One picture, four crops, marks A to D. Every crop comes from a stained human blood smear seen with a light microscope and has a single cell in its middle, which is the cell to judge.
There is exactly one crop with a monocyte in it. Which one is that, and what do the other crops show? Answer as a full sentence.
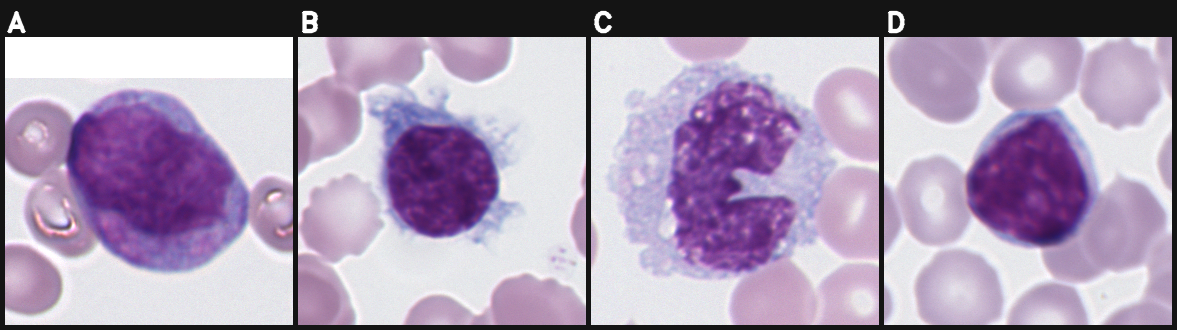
In crop C there is a monocyte, while crop A is an atypical promyelocyte, crop B is a hairy cell and crop D is a typical lymphocyte.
